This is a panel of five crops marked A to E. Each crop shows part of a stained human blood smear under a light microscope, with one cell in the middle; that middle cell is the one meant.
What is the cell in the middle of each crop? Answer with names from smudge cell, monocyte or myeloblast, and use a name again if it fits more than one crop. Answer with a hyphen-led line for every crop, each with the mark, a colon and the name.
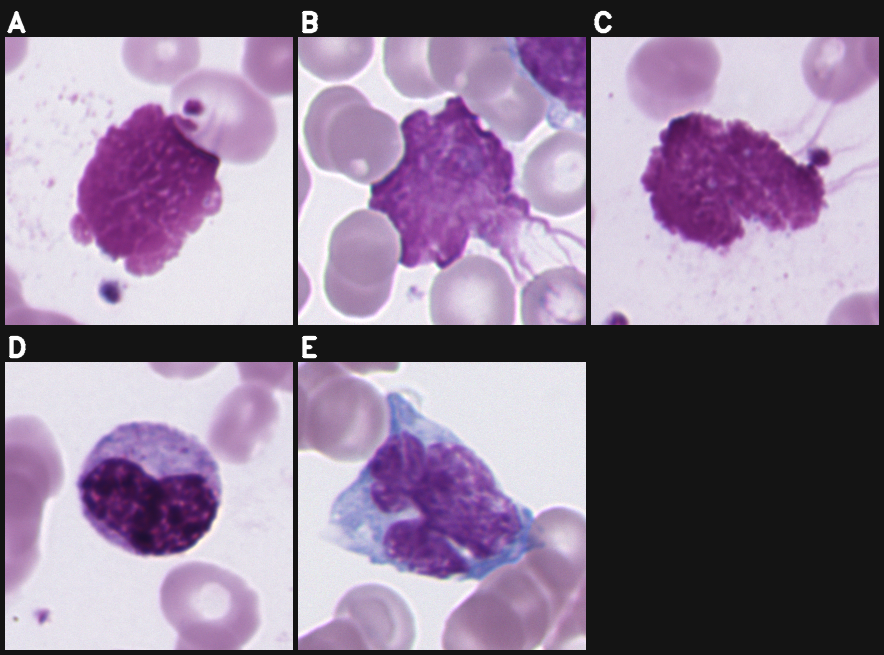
- A: smudge cell
- B: smudge cell
- C: smudge cell
- D: monocyte
- E: monocyte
